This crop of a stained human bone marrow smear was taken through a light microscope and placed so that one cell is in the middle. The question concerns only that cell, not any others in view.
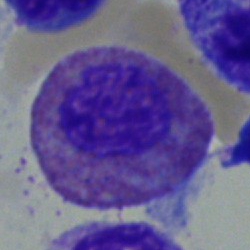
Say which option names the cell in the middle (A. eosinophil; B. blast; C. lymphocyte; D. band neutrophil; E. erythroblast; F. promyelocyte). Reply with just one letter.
A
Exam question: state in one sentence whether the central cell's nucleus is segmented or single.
The cell carries one compact nucleus shaped round, oval or like a kidney.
